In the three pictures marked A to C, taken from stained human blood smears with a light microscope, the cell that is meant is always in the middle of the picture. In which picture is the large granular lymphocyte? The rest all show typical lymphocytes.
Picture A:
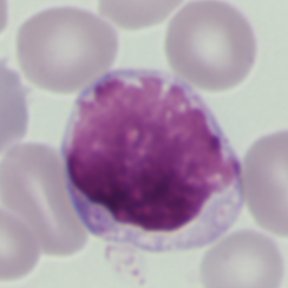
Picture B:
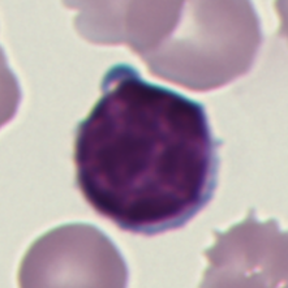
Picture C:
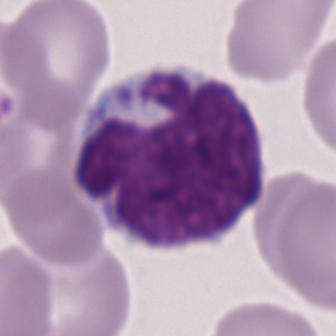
A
